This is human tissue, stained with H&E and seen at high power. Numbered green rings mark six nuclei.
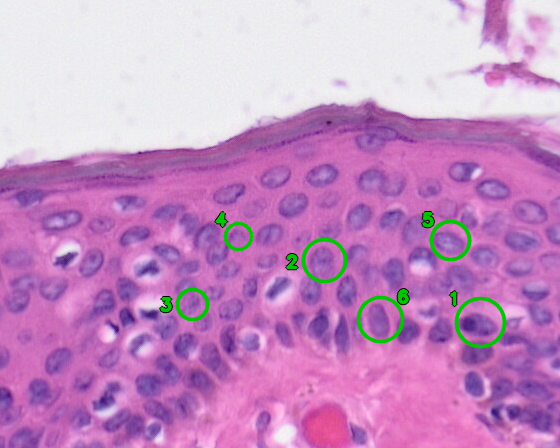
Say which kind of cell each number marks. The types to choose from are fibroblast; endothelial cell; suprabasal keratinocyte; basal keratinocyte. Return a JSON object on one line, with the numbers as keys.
{"1": "basal keratinocyte", "2": "suprabasal keratinocyte", "3": "suprabasal keratinocyte", "4": "suprabasal keratinocyte", "5": "suprabasal keratinocyte", "6": "basal keratinocyte"}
